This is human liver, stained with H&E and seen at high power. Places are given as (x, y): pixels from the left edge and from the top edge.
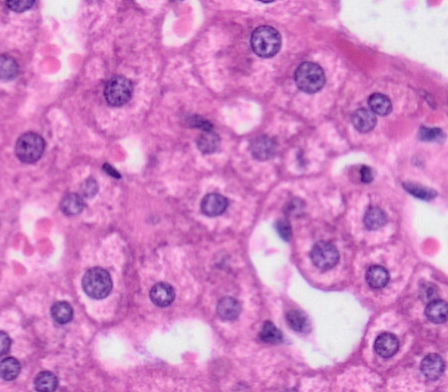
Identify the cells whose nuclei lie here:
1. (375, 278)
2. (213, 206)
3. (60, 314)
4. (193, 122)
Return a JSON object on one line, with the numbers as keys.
{"1": "hepatocyte", "2": "hepatocyte", "3": "hepatocyte", "4": "fibroblast or stellate cell"}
